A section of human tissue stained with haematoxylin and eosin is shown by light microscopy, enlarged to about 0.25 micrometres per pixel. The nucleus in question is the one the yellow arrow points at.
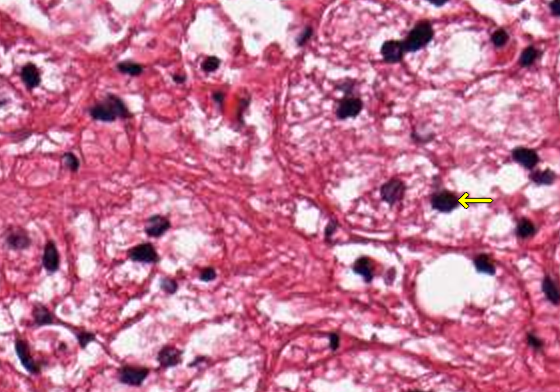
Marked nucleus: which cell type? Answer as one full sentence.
The nucleus singled out by the mark belongs to an adrenal cortical cell.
